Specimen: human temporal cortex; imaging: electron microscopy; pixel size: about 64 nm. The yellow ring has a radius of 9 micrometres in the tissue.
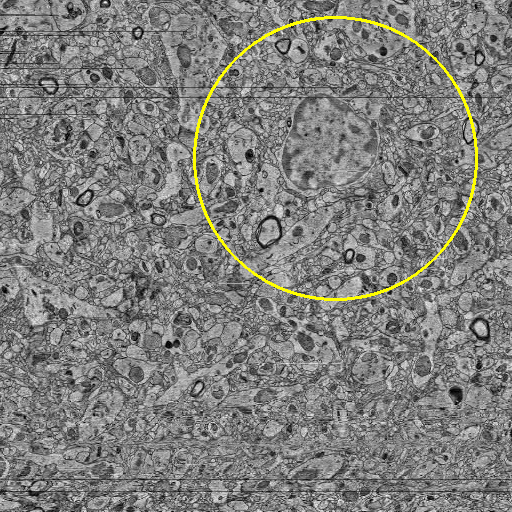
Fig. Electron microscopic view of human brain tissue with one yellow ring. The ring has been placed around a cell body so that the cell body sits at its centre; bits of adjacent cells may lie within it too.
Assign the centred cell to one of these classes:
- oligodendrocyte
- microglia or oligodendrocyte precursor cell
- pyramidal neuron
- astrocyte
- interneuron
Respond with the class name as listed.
microglia or oligodendrocyte precursor cell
